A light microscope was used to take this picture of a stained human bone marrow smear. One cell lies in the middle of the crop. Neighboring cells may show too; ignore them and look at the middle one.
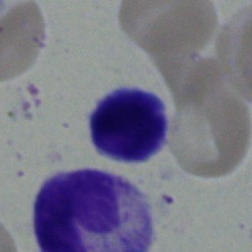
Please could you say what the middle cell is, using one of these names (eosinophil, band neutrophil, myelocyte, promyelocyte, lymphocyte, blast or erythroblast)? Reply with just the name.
lymphocyte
